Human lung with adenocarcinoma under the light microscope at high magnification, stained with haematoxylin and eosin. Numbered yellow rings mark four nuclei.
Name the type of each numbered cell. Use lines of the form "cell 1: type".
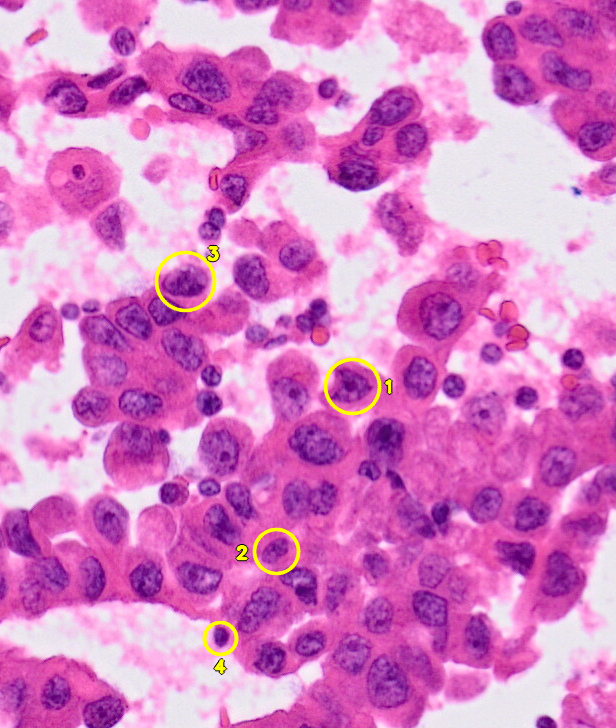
cell 1: carcinoma cell
cell 2: carcinoma cell
cell 3: carcinoma cell
cell 4: lymphocyte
